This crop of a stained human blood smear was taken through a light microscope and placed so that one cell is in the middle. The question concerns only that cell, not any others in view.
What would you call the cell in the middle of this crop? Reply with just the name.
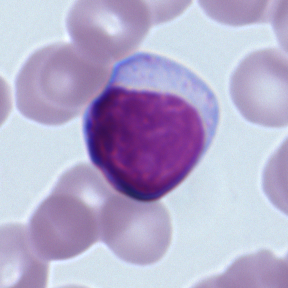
large granular lymphocyte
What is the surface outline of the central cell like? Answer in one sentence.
Its periphery is smooth, and no projections arise from it.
